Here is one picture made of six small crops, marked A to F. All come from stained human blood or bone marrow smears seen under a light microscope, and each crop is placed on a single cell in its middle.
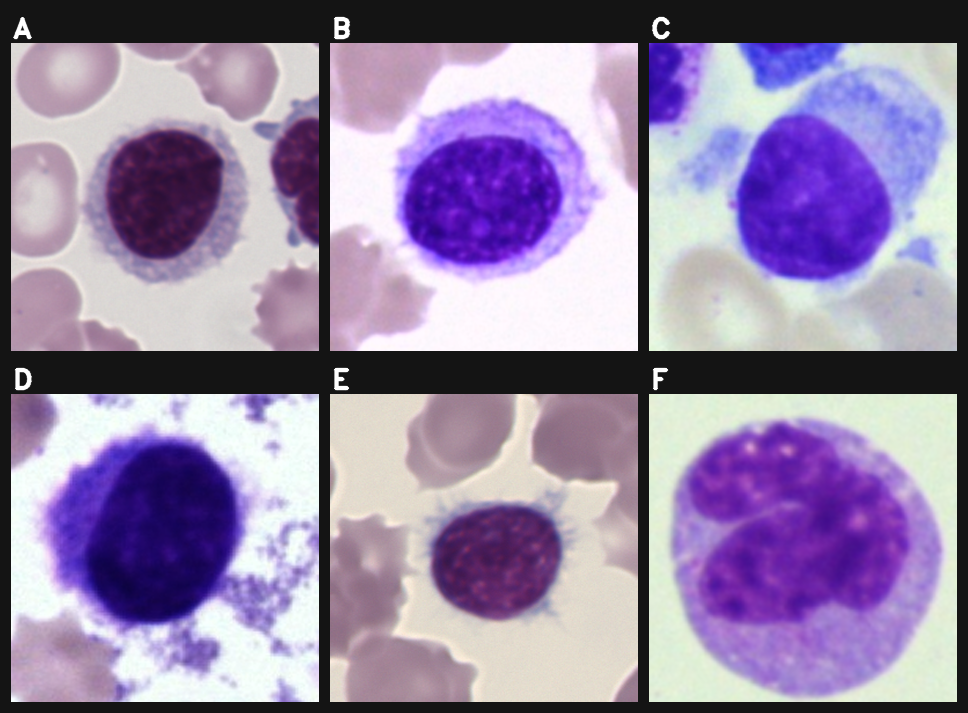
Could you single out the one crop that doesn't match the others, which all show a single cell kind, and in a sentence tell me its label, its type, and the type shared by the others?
Crop F breaks the pattern with a monocyte; all the others show hairy cells.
